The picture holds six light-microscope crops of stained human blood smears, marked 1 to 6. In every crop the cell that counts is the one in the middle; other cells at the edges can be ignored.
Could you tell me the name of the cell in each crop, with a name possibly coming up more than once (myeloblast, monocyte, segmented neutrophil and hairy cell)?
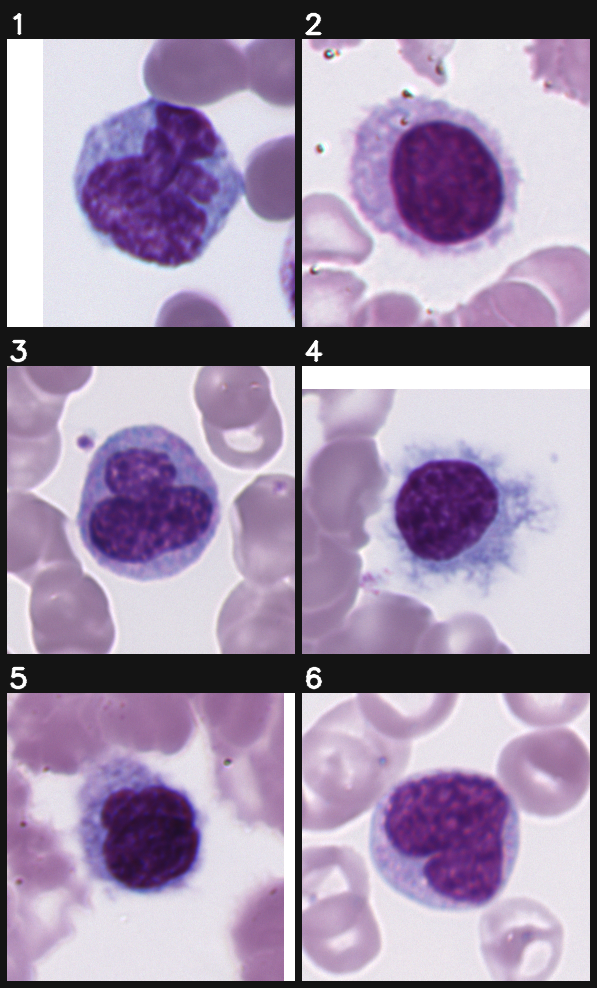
1: monocyte
2: hairy cell
3: monocyte
4: hairy cell
5: hairy cell
6: monocyte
